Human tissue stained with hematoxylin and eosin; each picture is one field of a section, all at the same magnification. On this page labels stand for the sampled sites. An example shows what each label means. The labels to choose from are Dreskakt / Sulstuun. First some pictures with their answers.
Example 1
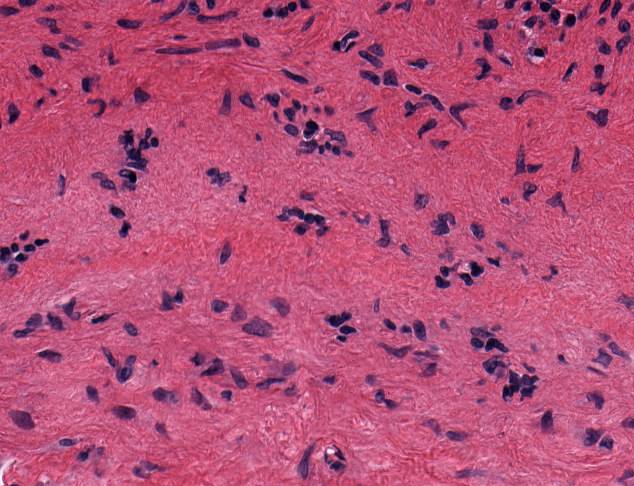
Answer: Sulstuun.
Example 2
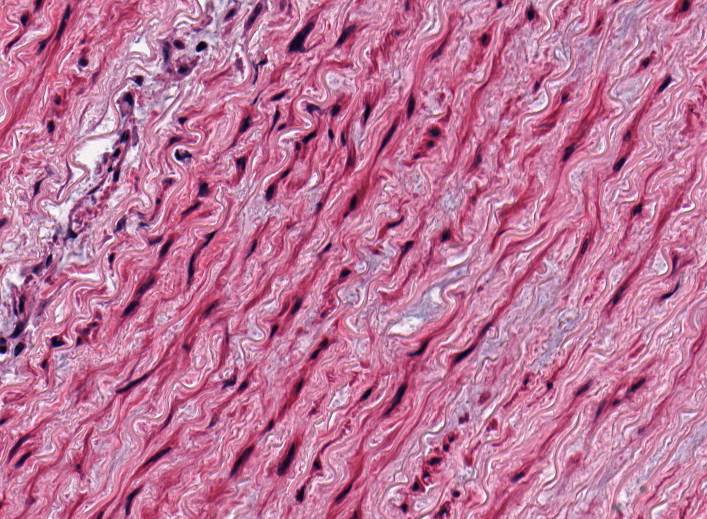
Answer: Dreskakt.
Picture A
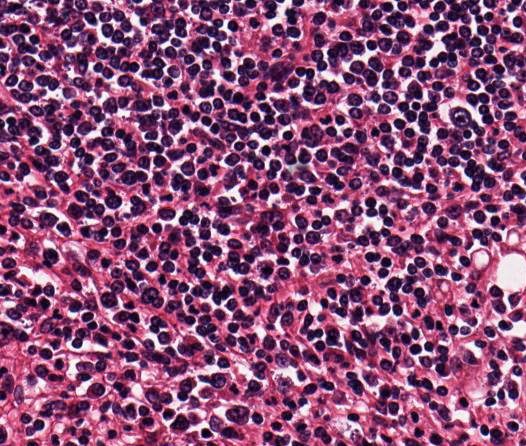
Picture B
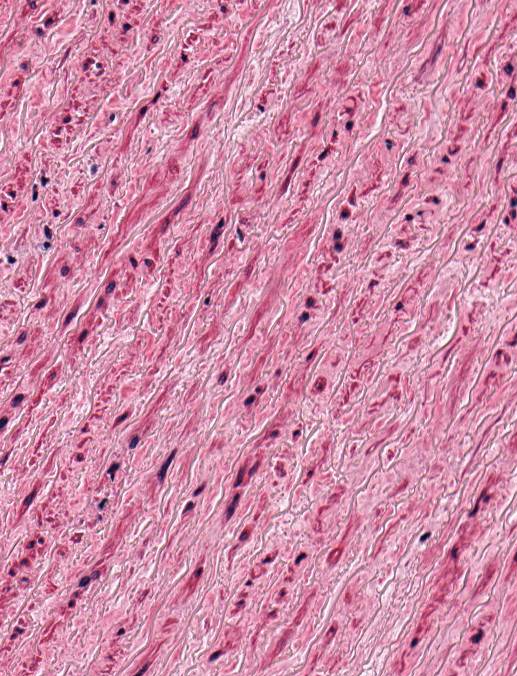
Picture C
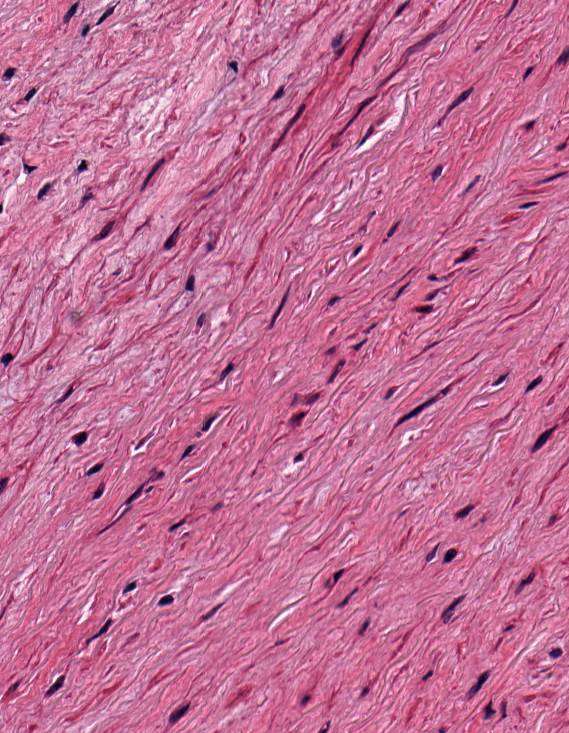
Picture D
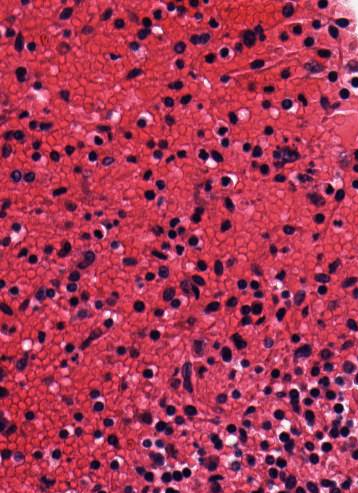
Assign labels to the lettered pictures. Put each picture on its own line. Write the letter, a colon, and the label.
A: Sulstuun.
B: Dreskakt.
C: Dreskakt.
D: Sulstuun.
